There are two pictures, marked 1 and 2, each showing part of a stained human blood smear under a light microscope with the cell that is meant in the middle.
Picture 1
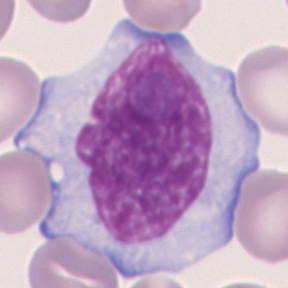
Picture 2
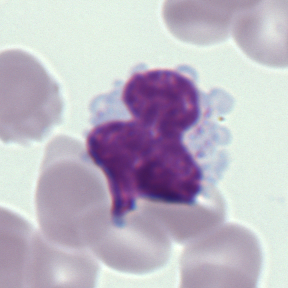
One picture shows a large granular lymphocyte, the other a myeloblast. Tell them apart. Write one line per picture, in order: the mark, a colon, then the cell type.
1: myeloblast
2: large granular lymphocyte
